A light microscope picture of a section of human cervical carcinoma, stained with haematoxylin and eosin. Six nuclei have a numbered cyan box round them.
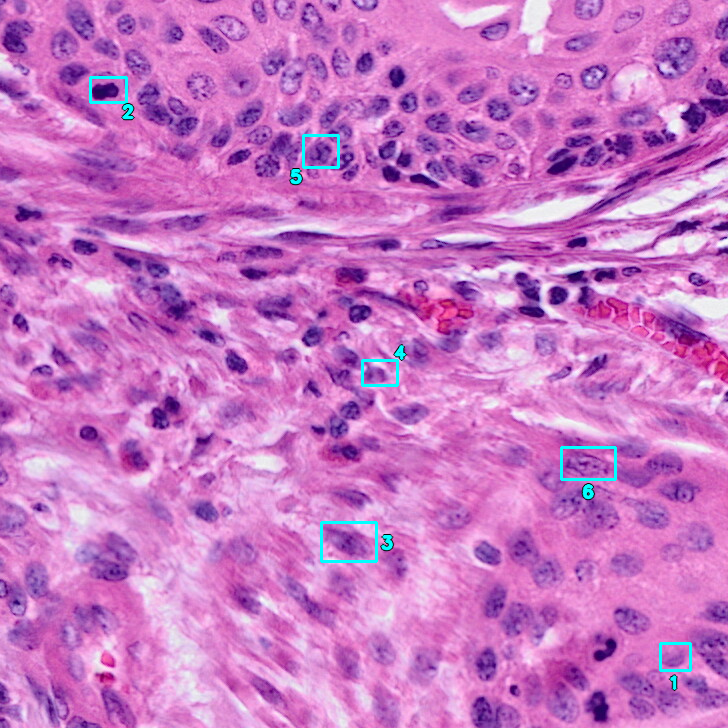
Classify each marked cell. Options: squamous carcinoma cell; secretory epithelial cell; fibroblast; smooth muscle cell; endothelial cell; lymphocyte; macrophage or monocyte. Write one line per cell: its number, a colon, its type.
1: squamous carcinoma cell
2: squamous carcinoma cell
3: fibroblast
4: fibroblast
5: squamous carcinoma cell
6: squamous carcinoma cell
